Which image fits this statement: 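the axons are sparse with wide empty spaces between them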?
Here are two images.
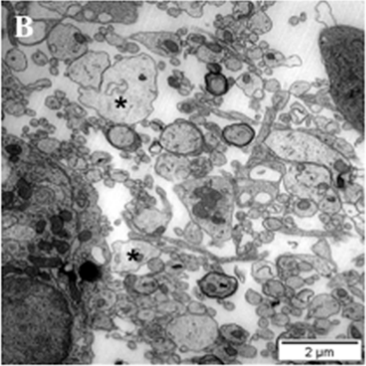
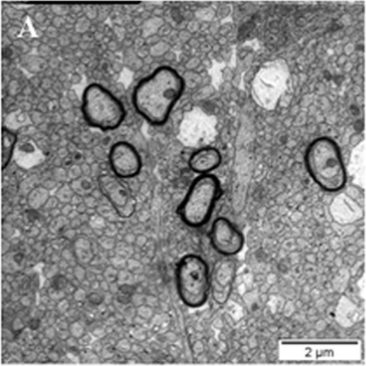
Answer: The first image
